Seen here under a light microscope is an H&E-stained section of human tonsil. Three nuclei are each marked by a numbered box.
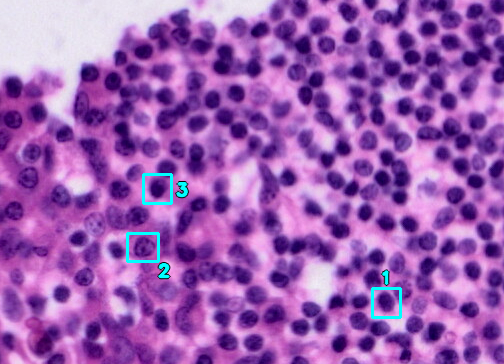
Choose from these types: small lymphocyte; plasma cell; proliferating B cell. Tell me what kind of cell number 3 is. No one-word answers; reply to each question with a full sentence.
Number 3 is placed on a plasma cell here.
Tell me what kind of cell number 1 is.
At number 1, the marked cell is a small lymphocyte.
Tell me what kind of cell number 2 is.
Of the numbered cells, the one labelled 2 is a plasma cell.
